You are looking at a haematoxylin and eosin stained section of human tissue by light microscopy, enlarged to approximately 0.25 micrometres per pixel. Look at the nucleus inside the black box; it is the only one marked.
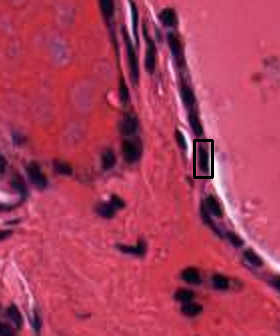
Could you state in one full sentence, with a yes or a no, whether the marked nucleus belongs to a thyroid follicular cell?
Yes, the marked nucleus is a nucleus of a thyroid follicular cell.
